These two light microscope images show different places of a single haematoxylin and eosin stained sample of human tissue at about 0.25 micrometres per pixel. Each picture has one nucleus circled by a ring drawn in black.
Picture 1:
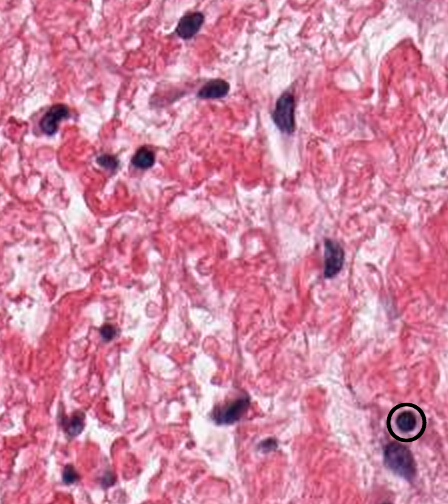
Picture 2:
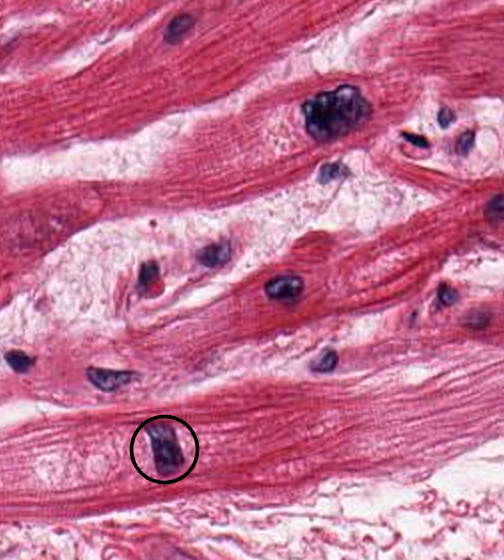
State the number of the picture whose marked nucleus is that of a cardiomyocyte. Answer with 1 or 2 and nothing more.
2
